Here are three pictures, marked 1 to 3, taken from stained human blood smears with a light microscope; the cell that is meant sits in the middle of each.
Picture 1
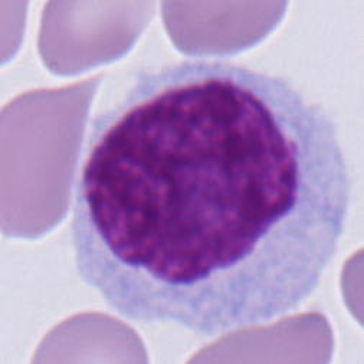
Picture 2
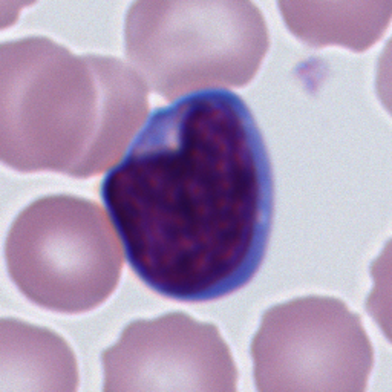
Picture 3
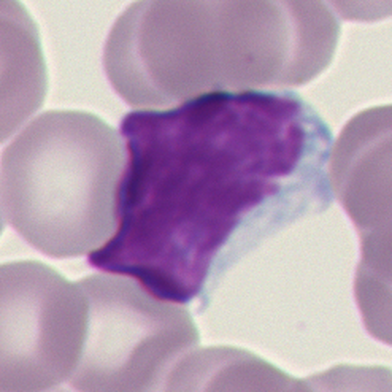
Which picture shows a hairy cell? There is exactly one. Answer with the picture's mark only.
1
